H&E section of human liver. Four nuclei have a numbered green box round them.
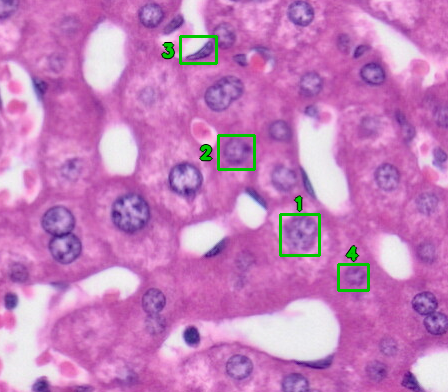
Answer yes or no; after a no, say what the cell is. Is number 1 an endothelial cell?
No, it is a hepatocyte.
